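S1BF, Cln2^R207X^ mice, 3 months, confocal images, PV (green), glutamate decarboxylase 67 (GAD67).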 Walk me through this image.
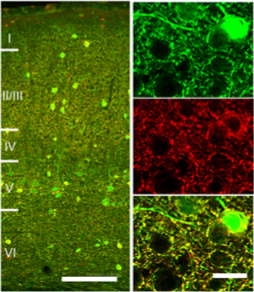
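At low power, bright green cell bodies lie singly and well apart through the middle and deep layers, set in a yellow-green haze of neuropil. In the enlarged views, one large rounded green cell body stands out, and fine green fibers wind among the surrounding cells. Where the two colours are merged, much of the meshwork appears yellow, showing that the green fibers and red terminals largely coincide.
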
